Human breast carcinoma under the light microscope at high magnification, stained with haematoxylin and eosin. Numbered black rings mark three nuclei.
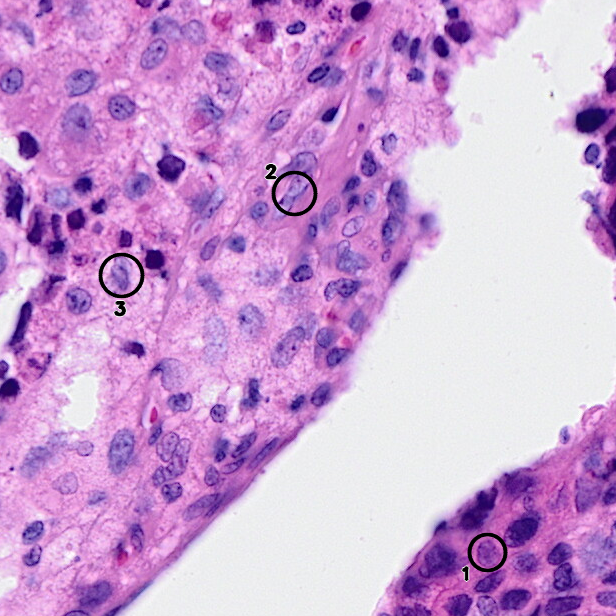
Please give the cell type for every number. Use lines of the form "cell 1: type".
cell 1: carcinoma cell
cell 2: endothelial cell
cell 3: macrophage, monocyte or dendritic cell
